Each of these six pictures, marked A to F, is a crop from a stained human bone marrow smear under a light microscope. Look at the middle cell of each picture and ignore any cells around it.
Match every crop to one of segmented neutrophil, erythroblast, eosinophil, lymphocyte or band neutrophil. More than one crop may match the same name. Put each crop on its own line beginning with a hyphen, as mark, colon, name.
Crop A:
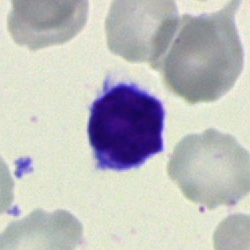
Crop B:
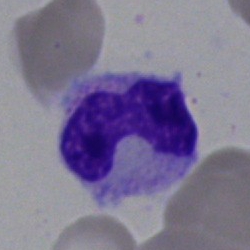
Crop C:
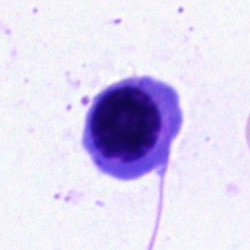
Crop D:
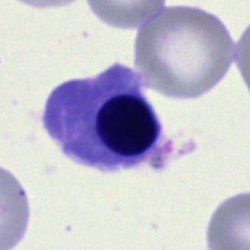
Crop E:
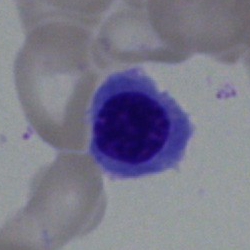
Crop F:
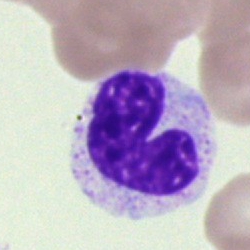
- A: lymphocyte
- B: band neutrophil
- C: erythroblast
- D: erythroblast
- E: erythroblast
- F: band neutrophil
